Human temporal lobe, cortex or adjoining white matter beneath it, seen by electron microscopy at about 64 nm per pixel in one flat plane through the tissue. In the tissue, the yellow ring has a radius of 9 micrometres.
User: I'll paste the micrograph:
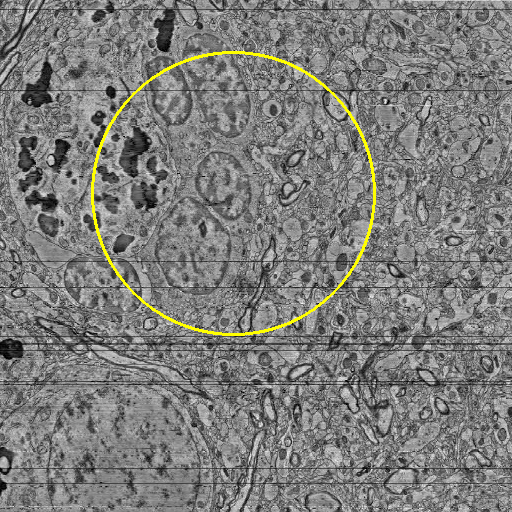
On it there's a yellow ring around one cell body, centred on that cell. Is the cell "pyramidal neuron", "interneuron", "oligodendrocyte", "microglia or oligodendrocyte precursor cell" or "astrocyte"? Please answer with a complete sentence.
The cell ringed in yellow is an oligodendrocyte.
